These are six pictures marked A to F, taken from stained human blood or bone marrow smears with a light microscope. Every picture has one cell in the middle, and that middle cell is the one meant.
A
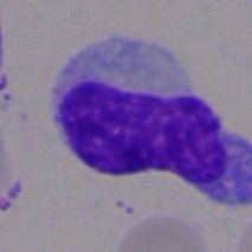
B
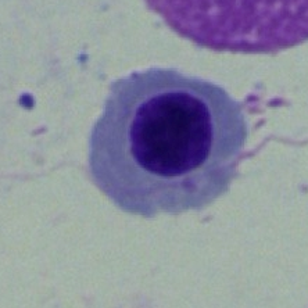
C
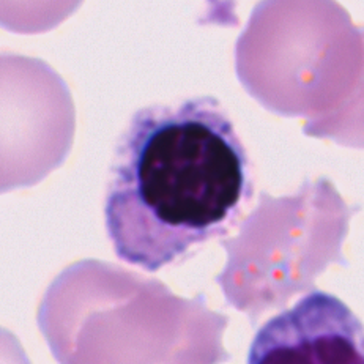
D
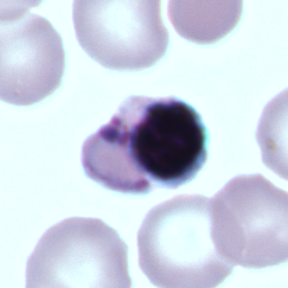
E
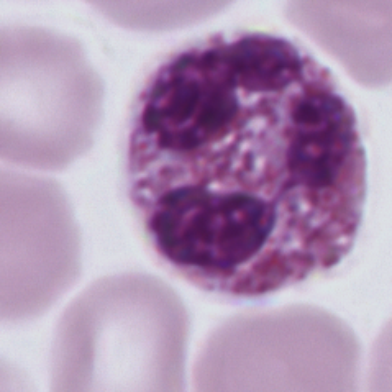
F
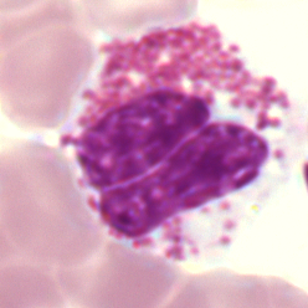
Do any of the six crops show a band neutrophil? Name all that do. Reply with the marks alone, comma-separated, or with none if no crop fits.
A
